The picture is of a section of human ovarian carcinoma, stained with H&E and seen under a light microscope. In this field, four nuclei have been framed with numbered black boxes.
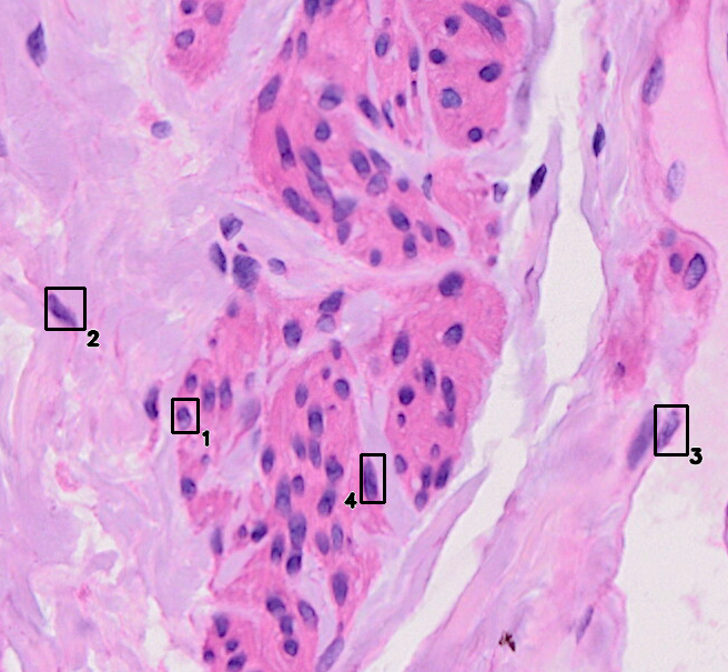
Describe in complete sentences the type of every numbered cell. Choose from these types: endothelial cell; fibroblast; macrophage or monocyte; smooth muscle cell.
Cell 1 is a smooth muscle cell, cell 2 is a fibroblast, cell 3 is an endothelial cell and cell 4 is a smooth muscle cell.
